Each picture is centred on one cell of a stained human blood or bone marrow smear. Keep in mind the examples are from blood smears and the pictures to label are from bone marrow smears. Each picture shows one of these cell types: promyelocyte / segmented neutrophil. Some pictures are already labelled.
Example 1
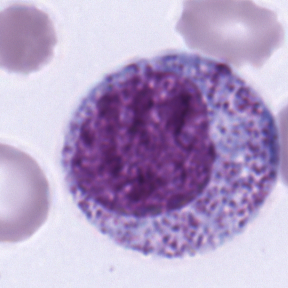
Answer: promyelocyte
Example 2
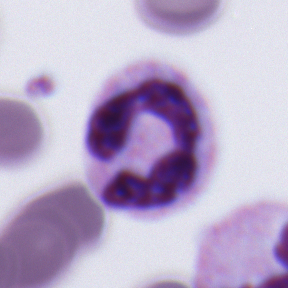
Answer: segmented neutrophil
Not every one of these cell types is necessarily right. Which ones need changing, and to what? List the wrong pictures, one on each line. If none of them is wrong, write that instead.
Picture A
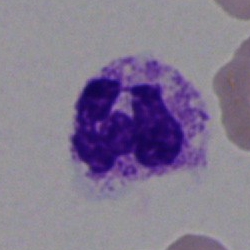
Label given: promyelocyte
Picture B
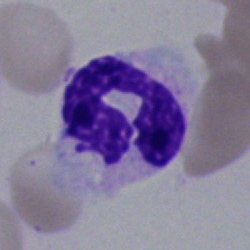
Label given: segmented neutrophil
A: segmented neutrophil, not promyelocyte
